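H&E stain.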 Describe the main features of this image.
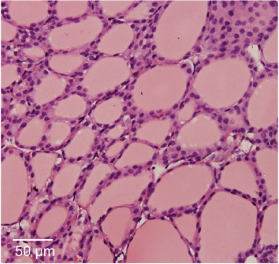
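This is thyroid gland tissue, built of round follicles of many sizes, each filled with smooth, evenly pink colloid. Every follicle is rimmed by a single layer of low cuboidal to flattened epithelial cells whose round nuclei stain dark purple. Between the follicles lie thin strands of connective tissue and a few small clusters of cells and small follicles.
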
